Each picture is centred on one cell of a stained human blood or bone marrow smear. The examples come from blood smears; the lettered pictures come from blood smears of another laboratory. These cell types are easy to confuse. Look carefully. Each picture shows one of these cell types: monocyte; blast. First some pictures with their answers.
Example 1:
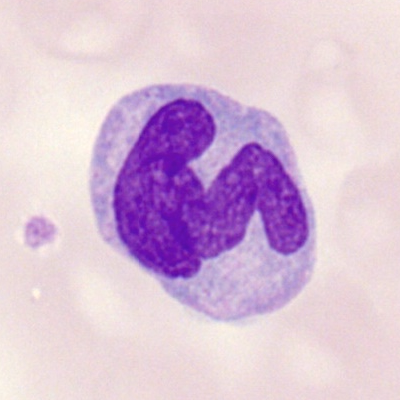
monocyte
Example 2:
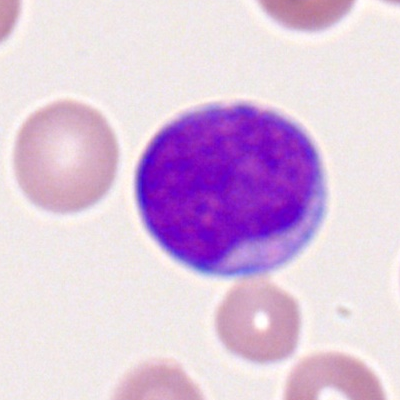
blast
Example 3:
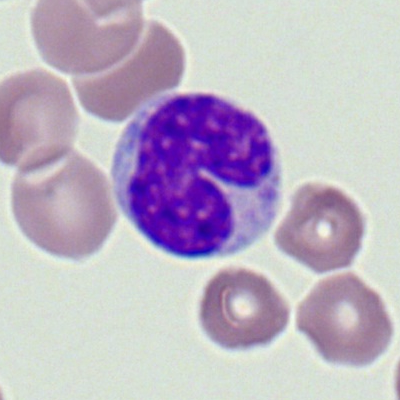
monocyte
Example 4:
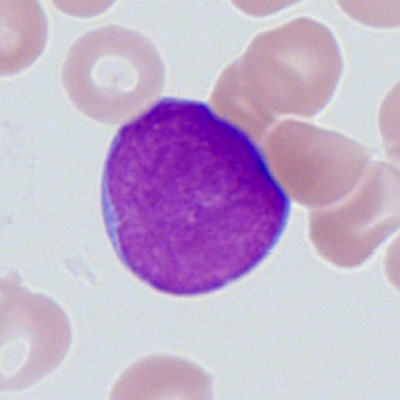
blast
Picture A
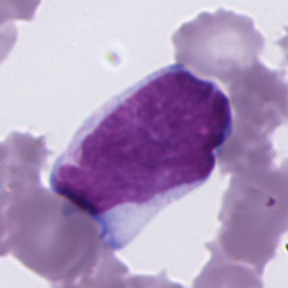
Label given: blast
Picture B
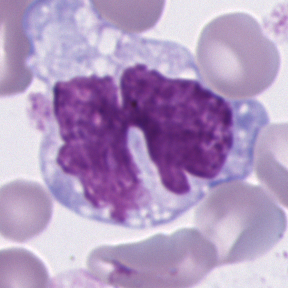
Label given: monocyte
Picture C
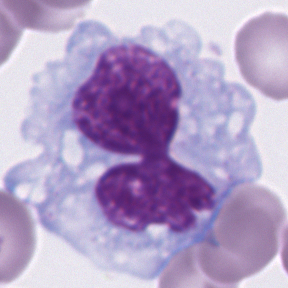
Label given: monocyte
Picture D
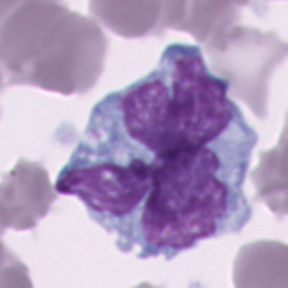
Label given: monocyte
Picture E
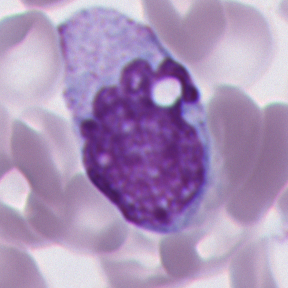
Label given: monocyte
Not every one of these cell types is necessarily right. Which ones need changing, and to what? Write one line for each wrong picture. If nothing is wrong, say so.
Every label is right.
